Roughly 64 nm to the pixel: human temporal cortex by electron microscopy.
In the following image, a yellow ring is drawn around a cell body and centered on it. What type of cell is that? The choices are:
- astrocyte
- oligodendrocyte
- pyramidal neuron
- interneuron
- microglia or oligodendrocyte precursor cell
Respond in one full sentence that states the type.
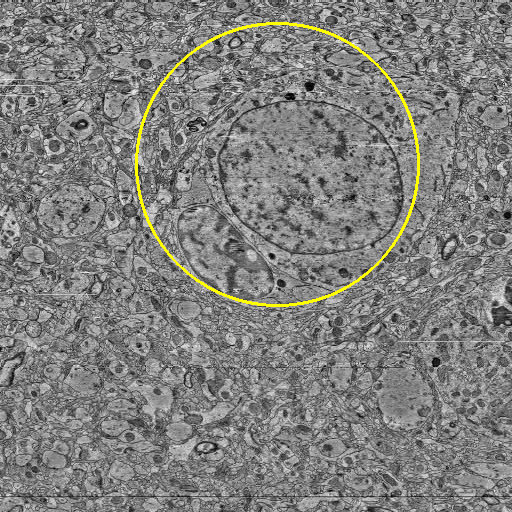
The cell at the center of the yellow ring in the image is a pyramidal neuron.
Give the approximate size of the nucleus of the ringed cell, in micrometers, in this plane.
About 12 by 10 micrometers for the nucleus, in this plane.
